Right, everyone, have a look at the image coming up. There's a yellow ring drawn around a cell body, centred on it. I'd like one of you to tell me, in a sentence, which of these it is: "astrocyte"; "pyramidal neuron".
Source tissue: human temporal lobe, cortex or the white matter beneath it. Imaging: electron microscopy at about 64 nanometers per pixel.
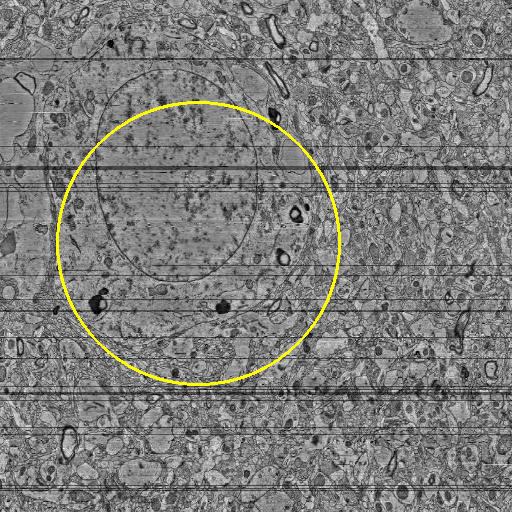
The yellow ring sits on a pyramidal neuron.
